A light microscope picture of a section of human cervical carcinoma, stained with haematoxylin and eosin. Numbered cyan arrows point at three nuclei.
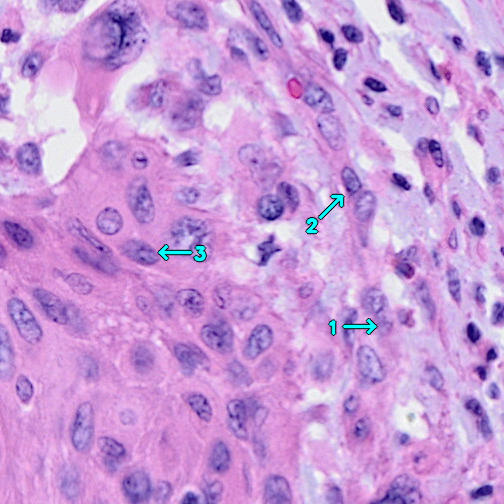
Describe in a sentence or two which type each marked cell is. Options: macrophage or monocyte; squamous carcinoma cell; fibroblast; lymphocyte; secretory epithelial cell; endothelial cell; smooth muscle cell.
Cells 1 and 2 are endothelial cells. Cell 3 is a squamous carcinoma cell.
